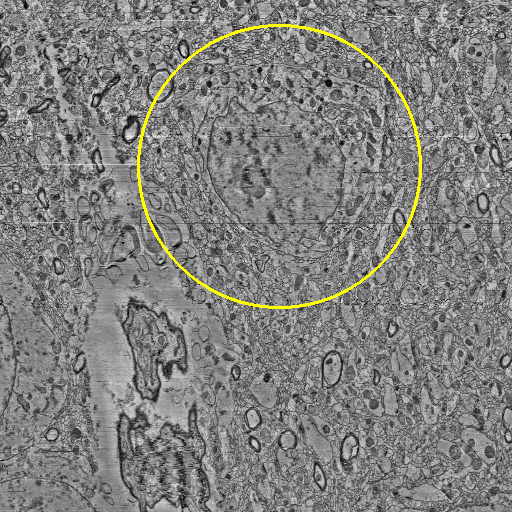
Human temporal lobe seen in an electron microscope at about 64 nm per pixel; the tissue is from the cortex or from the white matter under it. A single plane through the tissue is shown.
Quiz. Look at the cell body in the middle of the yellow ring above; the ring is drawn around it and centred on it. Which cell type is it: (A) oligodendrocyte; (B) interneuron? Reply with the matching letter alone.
B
